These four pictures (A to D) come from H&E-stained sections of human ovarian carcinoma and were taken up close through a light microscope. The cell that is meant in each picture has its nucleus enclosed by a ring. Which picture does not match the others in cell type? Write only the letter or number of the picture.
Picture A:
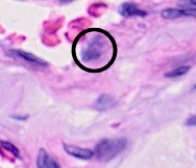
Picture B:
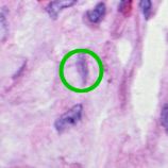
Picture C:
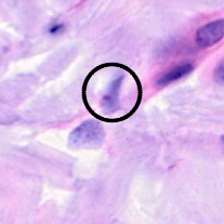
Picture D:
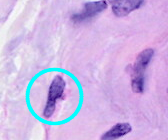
A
